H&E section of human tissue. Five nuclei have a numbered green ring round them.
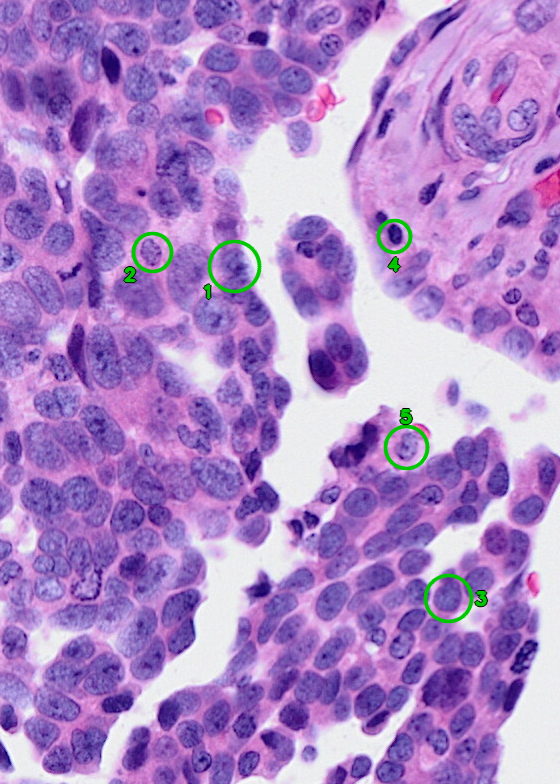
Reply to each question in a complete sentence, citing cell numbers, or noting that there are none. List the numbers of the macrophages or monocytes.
The cells numbered 2 and 5 are typed as macrophages or monocytes.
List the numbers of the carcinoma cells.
The cells with labels 1 and 3 are carcinoma cells.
